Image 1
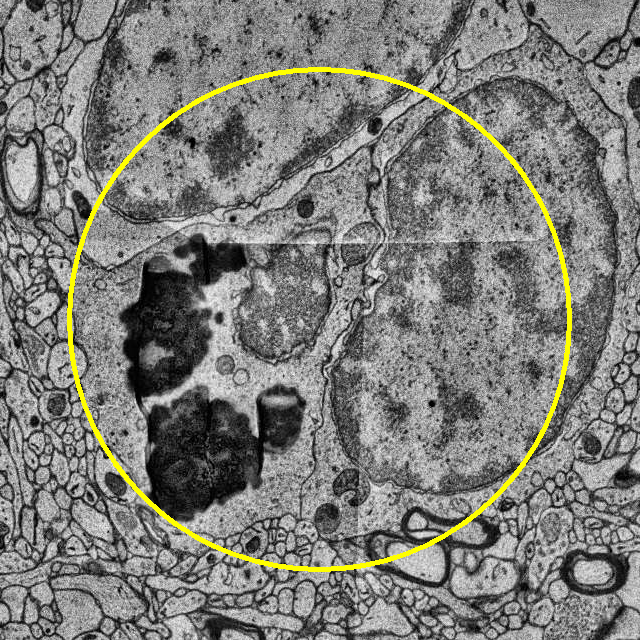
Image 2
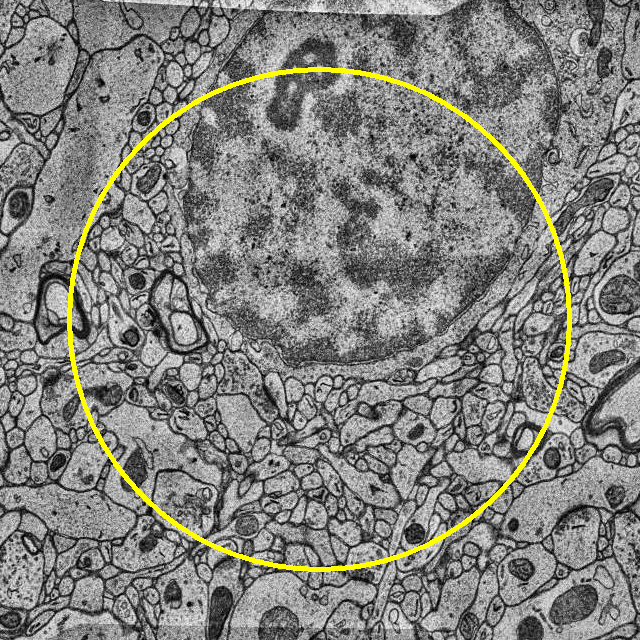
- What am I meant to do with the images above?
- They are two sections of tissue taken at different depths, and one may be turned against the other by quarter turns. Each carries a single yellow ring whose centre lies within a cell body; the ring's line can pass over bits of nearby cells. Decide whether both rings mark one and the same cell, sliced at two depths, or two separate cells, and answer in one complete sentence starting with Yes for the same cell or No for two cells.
Yes, the two rings belong to one cell, not to two.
